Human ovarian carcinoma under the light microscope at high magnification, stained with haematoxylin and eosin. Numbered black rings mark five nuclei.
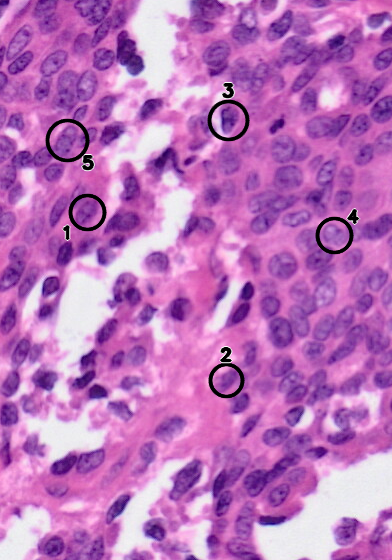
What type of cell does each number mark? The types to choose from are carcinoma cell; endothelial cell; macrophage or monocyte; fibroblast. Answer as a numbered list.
1. carcinoma cell
2. endothelial cell
3. macrophage or monocyte
4. carcinoma cell
5. carcinoma cell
